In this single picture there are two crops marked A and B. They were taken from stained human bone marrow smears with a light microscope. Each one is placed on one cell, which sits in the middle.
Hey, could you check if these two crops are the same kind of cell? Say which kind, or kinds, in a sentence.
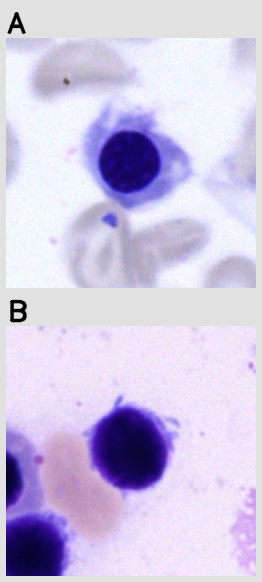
No, crop B shows a lymphocyte, and crop A shows an erythroblast.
